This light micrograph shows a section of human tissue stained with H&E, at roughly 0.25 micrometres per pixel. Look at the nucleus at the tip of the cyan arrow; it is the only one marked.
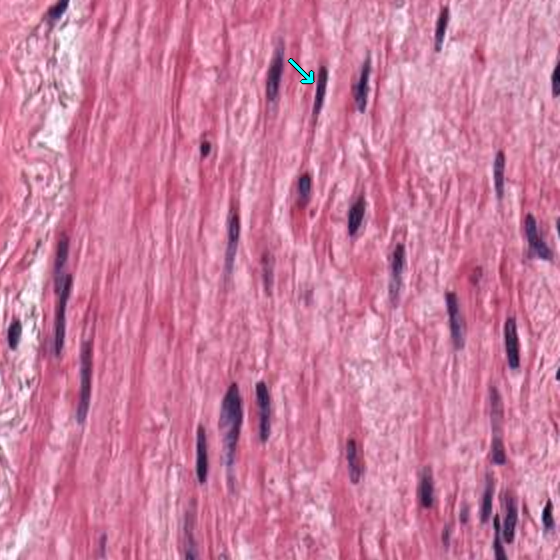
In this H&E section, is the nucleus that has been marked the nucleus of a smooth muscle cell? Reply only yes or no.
yes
